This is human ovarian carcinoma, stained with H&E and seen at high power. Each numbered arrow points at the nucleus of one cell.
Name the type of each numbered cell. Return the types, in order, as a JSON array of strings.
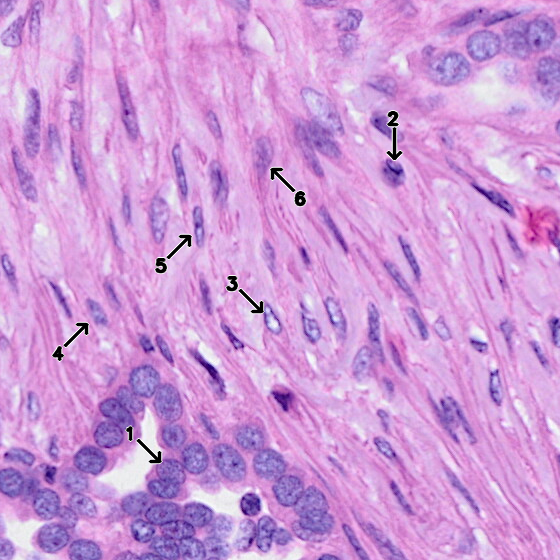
["carcinoma cell", "lymphocyte", "fibroblast", "fibroblast", "fibroblast", "fibroblast"]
